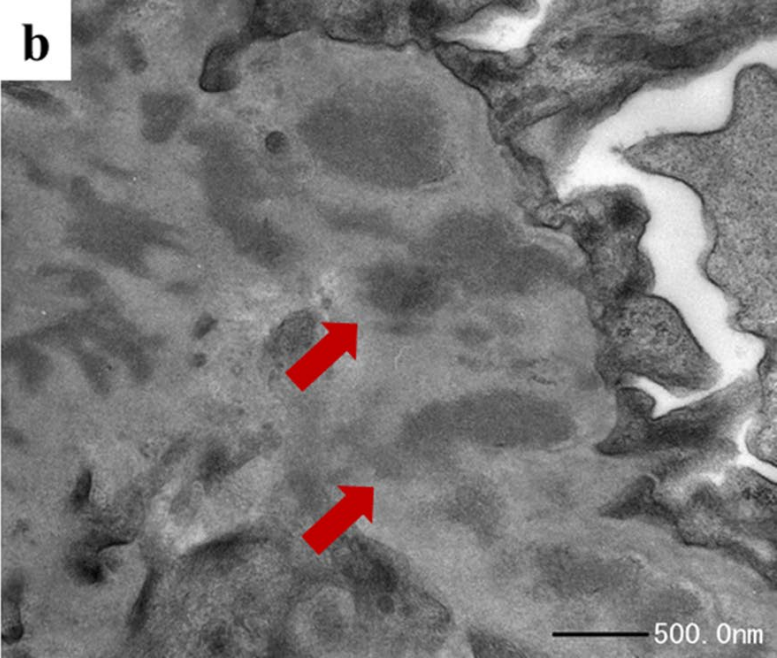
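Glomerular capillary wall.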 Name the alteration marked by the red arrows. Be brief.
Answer: Intra-membranous electron-dense deposits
